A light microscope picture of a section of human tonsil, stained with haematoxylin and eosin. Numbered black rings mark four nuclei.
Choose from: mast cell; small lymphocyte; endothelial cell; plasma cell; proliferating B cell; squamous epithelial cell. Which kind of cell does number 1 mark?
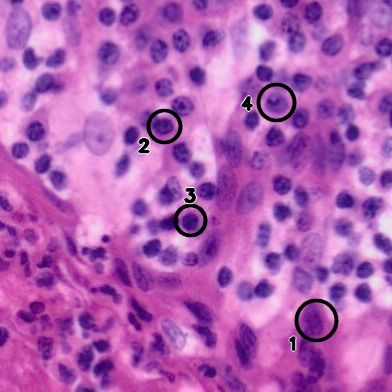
squamous epithelial cell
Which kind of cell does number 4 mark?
plasma cell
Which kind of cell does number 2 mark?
plasma cell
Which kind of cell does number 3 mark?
plasma cell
